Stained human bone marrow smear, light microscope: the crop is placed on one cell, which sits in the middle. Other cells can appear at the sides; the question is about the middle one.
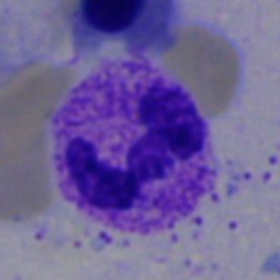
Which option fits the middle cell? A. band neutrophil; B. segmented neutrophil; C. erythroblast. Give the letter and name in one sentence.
Option B is the right one, for the cell in the middle is a segmented neutrophil.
